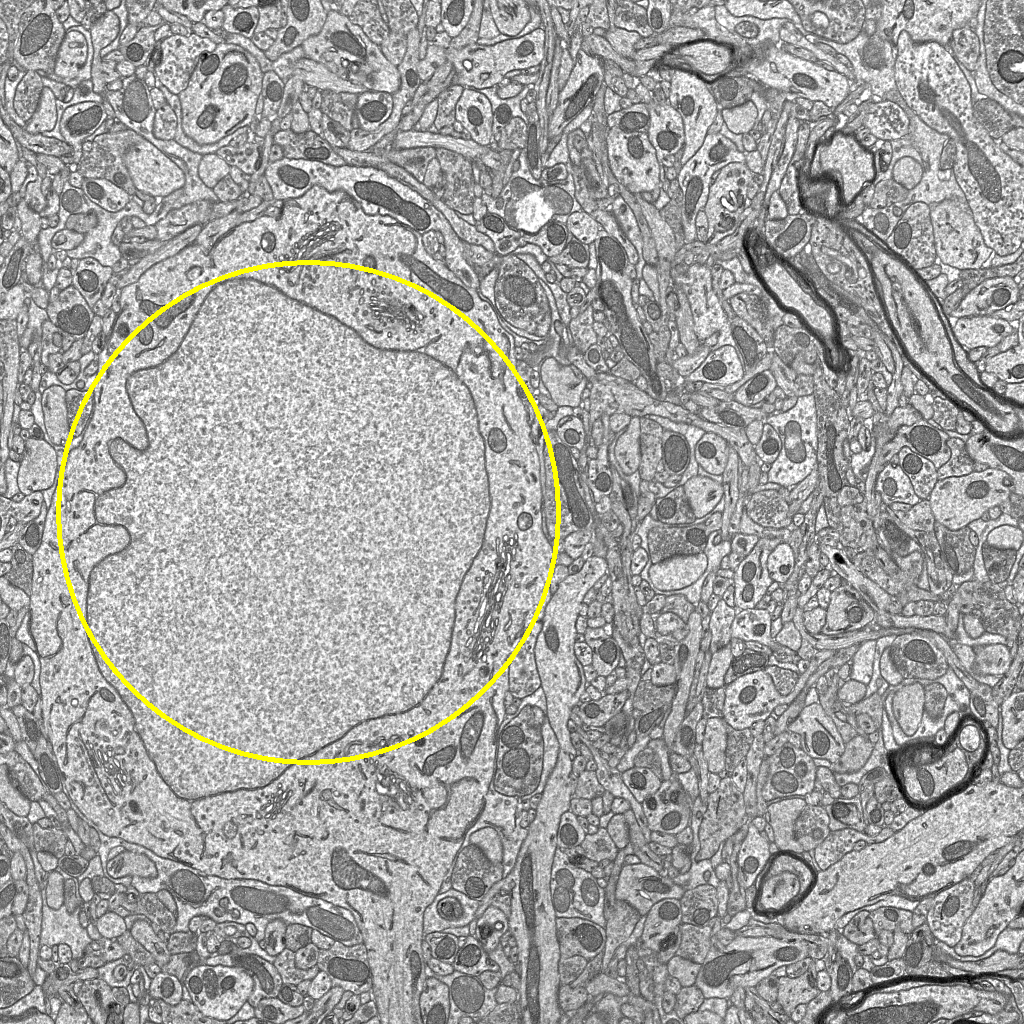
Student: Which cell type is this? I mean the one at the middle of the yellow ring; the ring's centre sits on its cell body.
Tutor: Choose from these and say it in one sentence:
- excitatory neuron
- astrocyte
The cell at the ring's centre is an excitatory neuron.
